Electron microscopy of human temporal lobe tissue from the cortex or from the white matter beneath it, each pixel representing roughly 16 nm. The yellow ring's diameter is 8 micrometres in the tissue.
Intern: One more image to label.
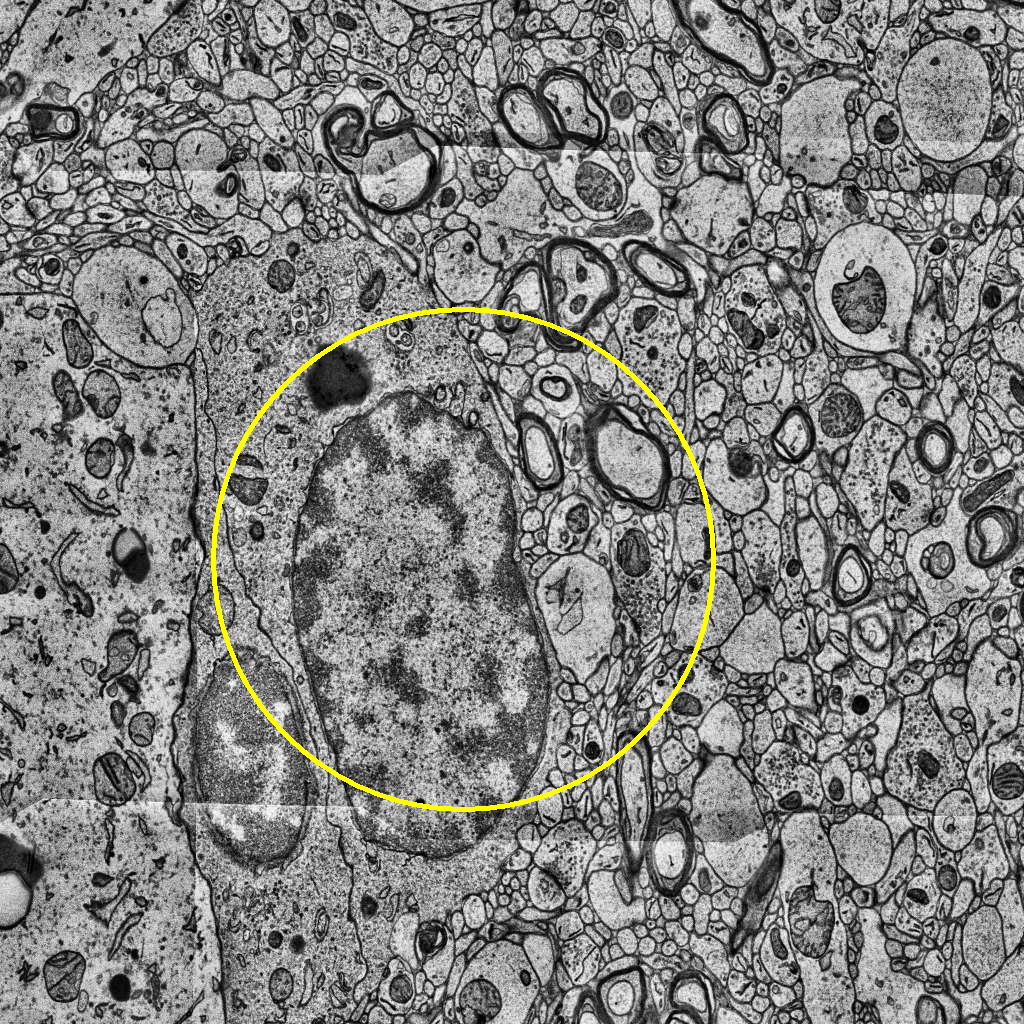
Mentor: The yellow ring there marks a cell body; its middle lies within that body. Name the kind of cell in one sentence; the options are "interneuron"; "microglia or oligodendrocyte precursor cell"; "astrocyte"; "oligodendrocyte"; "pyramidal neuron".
The ring marks the cell body of an oligodendrocyte.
